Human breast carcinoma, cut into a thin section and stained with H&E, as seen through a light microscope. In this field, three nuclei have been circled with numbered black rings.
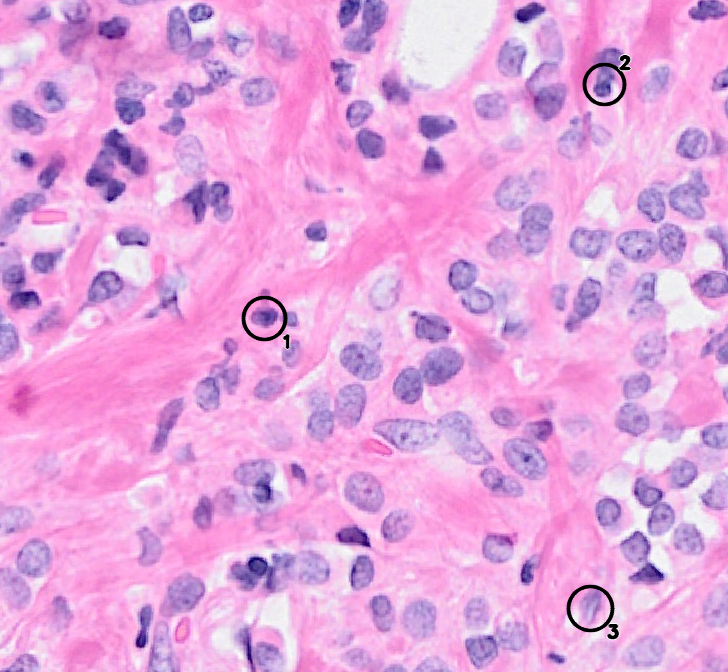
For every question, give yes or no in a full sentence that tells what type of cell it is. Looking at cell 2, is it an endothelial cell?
No, the cell labelled number 2 is not an endothelial cell; it is a lymphocyte.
